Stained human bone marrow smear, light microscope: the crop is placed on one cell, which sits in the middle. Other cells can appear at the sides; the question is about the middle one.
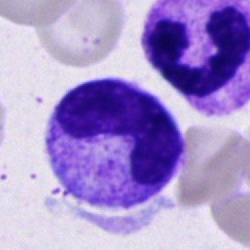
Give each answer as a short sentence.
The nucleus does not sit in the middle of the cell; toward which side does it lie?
Toward the upper right of the cell lies its nucleus.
